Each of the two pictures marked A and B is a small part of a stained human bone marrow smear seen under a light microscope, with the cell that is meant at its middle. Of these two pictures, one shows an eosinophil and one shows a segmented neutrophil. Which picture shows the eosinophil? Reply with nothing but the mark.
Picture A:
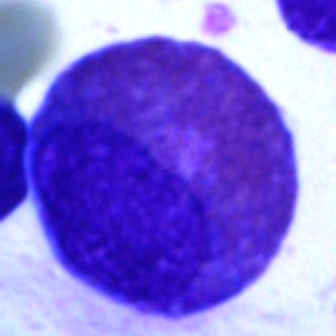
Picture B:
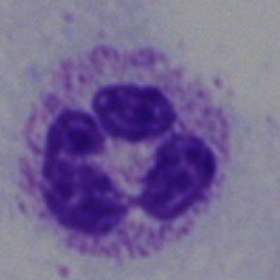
A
